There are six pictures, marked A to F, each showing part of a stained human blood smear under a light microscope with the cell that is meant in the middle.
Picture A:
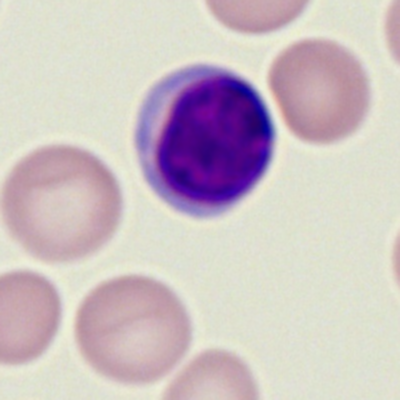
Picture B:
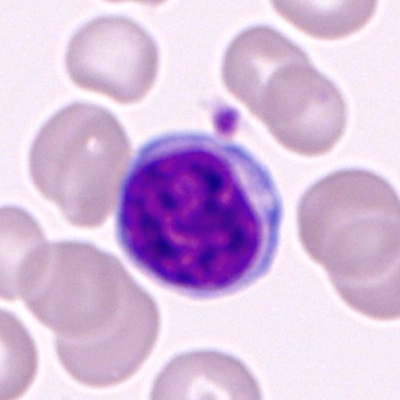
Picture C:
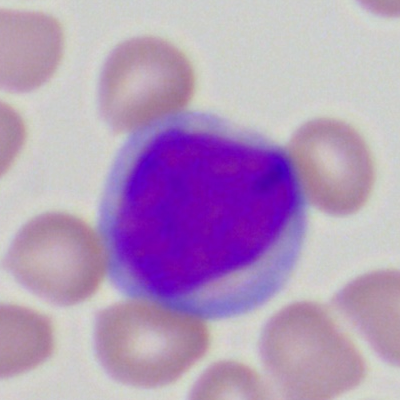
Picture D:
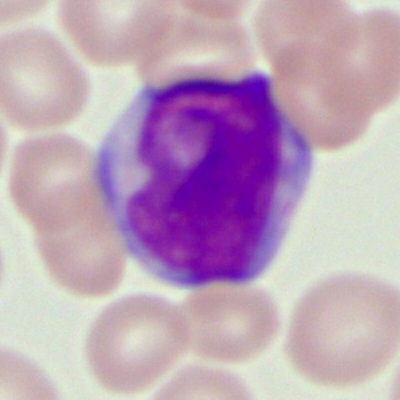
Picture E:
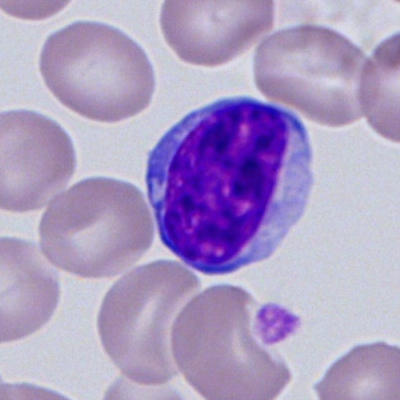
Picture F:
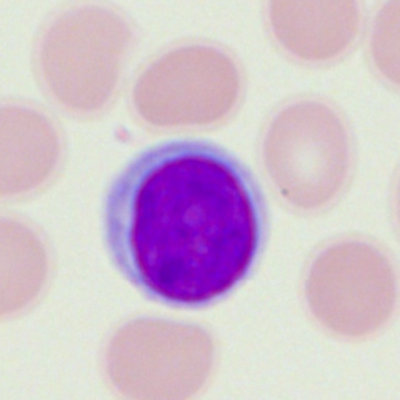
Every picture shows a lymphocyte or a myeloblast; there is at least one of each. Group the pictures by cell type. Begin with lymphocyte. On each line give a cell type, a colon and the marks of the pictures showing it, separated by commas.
lymphocyte: A, B, E, F
myeloblast: C, D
